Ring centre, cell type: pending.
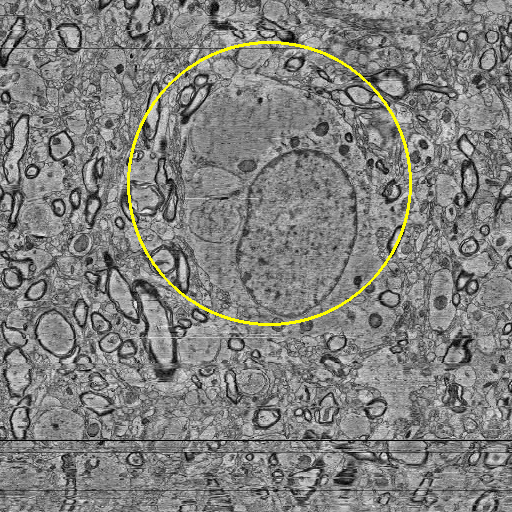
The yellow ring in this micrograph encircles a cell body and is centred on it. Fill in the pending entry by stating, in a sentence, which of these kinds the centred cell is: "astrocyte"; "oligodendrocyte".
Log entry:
The centred cell is recorded as an astrocyte.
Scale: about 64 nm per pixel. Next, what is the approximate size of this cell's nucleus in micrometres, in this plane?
Clearly longer than it is wide in this plane, the nucleus measures roughly 11 by 7 micrometres.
